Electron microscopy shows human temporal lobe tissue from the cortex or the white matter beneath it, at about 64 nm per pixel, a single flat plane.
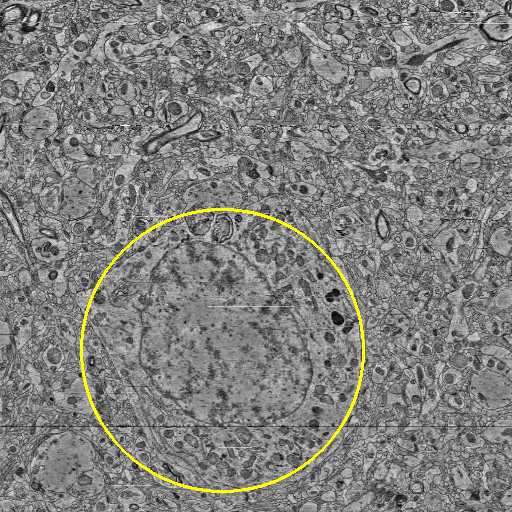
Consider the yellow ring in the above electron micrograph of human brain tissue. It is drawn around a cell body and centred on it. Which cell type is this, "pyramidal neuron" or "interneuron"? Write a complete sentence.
The cell in question is an interneuron.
